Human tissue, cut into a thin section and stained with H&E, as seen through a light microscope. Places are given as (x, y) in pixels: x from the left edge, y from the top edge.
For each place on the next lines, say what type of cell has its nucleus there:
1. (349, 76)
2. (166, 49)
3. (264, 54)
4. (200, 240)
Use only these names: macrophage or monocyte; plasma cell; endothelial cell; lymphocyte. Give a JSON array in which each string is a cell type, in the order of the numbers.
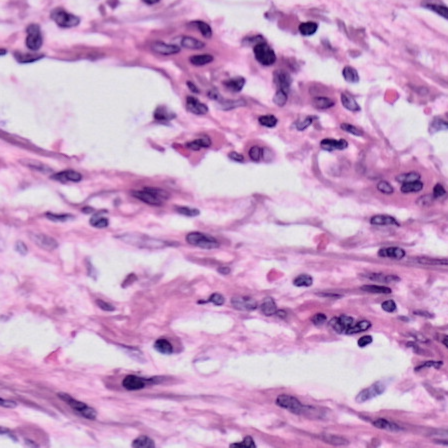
["lymphocyte", "endothelial cell", "plasma cell", "macrophage or monocyte"]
